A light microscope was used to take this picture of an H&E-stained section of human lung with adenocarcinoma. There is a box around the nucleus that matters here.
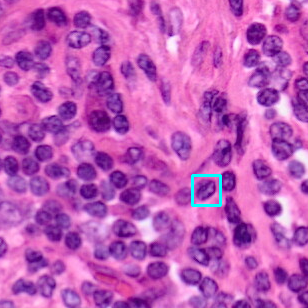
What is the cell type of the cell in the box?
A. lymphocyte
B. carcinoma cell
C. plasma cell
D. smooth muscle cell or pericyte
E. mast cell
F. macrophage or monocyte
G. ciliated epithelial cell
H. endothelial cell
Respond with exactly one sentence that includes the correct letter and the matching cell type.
Option A is the one to take: the cell in the box is a lymphocyte.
